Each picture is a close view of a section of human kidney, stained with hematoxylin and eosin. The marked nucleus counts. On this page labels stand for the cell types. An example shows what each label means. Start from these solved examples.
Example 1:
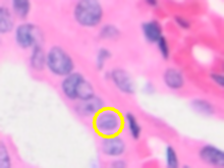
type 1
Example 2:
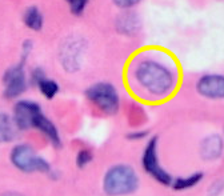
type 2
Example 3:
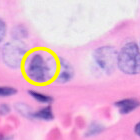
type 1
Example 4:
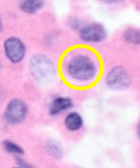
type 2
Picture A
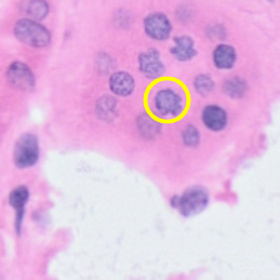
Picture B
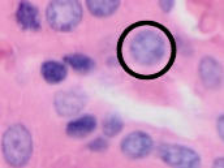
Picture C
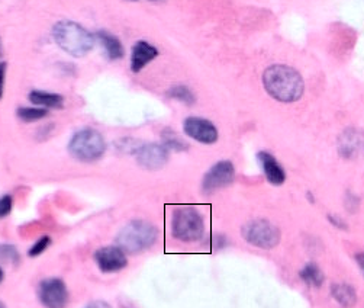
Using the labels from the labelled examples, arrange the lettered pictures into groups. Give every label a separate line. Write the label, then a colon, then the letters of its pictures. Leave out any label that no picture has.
type 1: B
type 2: A, C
